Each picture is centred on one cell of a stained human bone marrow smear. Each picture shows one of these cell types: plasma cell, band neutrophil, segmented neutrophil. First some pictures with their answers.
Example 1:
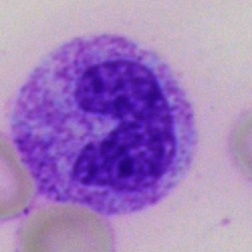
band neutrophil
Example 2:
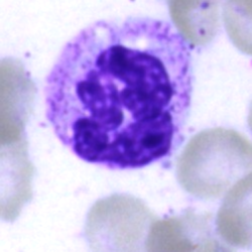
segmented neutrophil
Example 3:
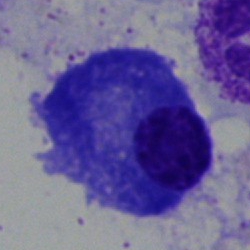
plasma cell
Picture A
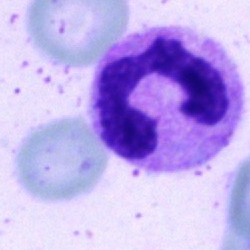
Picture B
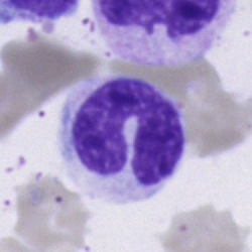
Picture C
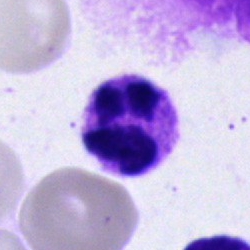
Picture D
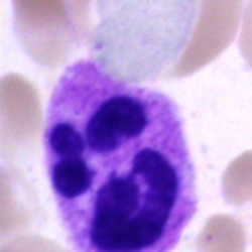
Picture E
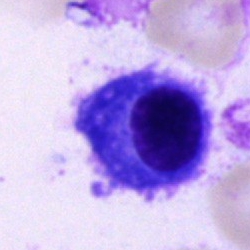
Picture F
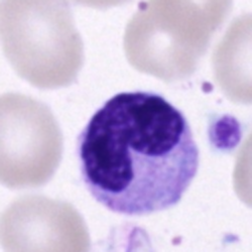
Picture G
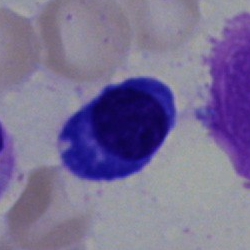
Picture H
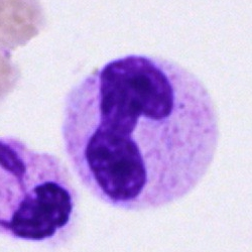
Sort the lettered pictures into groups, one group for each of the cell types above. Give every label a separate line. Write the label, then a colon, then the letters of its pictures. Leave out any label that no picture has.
plasma cell: E, G
band neutrophil: B, F, H
segmented neutrophil: A, C, D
